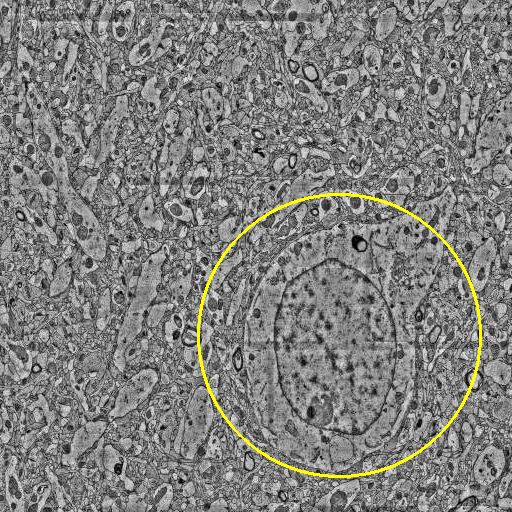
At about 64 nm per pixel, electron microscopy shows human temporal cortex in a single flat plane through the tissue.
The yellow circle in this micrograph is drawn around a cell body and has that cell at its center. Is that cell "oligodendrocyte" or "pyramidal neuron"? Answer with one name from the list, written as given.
pyramidal neuron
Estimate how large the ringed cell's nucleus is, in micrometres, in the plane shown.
The nucleus has a long axis of about 11 micrometres and a short axis of about 8 micrometres in this plane.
